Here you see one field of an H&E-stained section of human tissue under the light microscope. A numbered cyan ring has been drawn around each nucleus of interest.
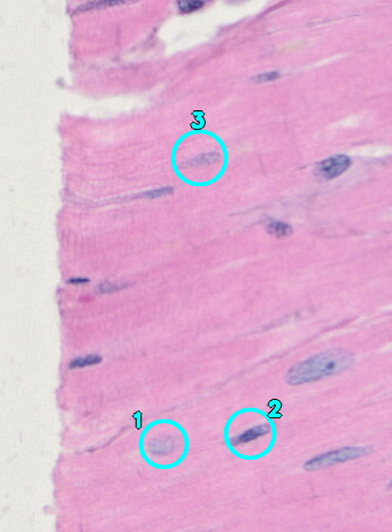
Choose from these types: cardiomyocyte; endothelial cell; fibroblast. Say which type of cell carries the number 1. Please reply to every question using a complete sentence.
The nucleus labeled 1 belongs to a cardiomyocyte.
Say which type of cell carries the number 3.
Regarding cell 3, this one is a cardiomyocyte.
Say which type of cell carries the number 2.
The cell with the number 2 is an endothelial cell.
